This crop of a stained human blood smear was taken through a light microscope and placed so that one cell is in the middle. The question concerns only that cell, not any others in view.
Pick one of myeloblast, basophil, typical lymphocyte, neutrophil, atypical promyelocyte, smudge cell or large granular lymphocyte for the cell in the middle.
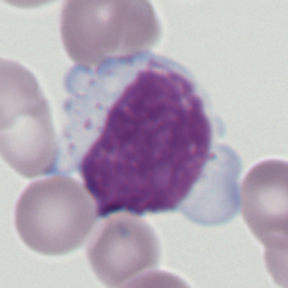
large granular lymphocyte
